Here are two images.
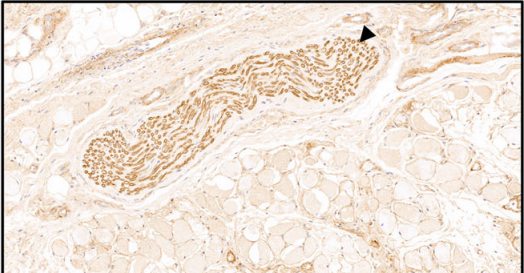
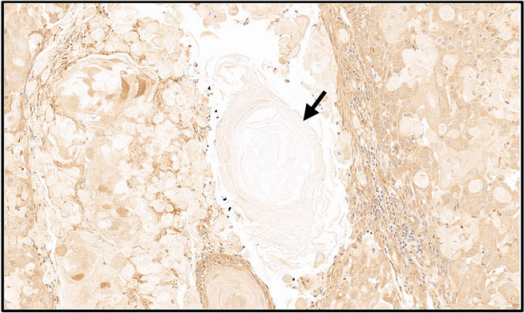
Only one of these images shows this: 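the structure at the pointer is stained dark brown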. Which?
The first image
